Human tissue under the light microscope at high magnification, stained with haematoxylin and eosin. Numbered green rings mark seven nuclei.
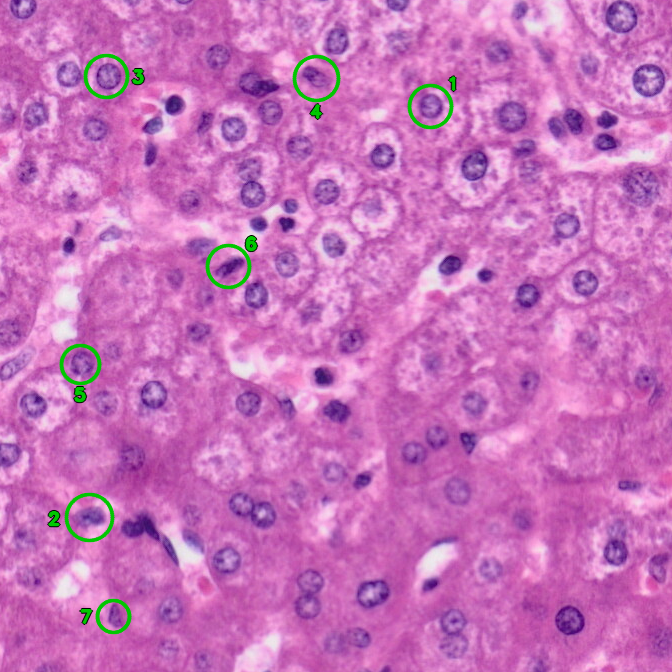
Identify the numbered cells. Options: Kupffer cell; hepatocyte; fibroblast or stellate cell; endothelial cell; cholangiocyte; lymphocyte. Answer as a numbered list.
1. hepatocyte
2. endothelial cell
3. hepatocyte
4. Kupffer cell
5. hepatocyte
6. fibroblast or stellate cell
7. endothelial cell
